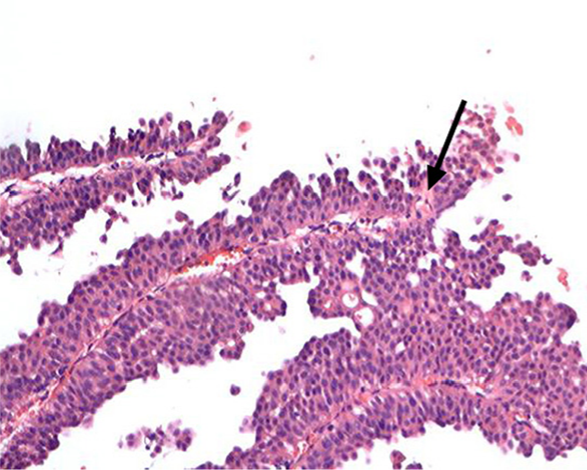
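At low power, branching fronds of tumor tissue are seen, each covered by a thick layer of closely packed cells with purple nuclei. Each frond has a thin central core of pink stroma containing red blood cells. At the edges, the cell layers break up into loose, detached clusters and single cells. Small clear spaces lie within the cell layers in places.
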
